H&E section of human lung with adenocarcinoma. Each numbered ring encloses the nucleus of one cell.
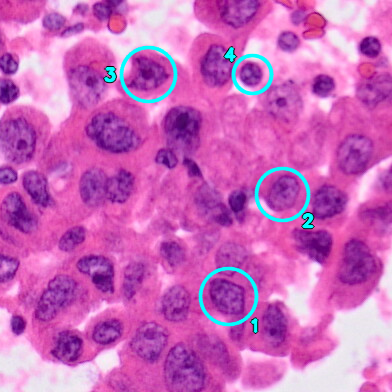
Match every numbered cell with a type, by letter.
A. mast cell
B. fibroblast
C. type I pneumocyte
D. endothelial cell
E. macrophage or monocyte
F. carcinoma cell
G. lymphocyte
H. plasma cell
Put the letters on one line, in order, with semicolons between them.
F; F; F; G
